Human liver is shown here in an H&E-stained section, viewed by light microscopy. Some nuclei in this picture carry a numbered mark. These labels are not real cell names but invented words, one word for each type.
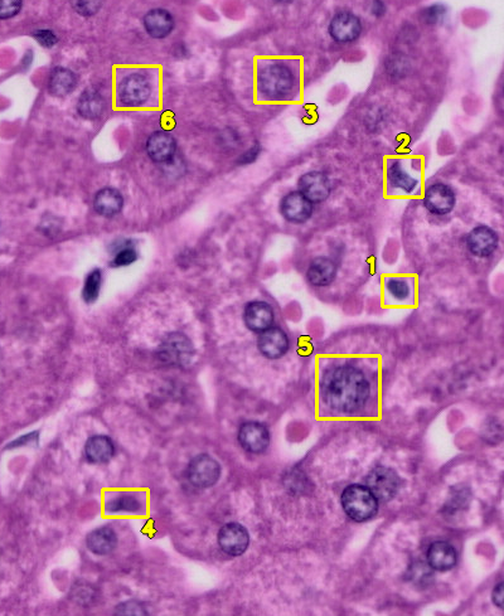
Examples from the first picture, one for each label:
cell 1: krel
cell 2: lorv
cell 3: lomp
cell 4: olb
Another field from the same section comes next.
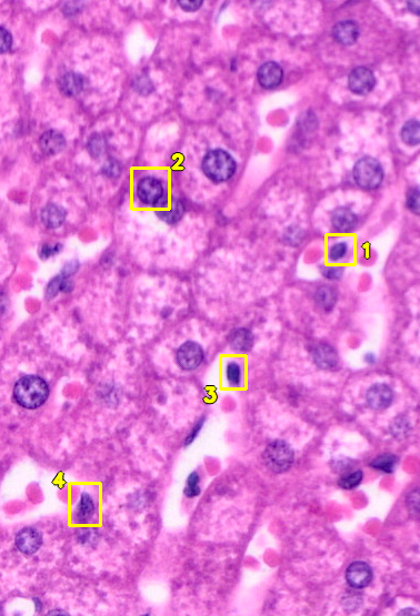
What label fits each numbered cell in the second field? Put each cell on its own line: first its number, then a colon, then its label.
1: krel
2: lomp
3: krel
4: lorv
